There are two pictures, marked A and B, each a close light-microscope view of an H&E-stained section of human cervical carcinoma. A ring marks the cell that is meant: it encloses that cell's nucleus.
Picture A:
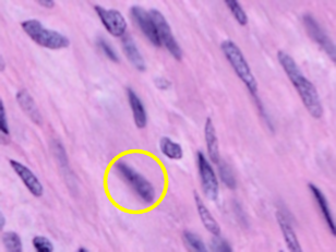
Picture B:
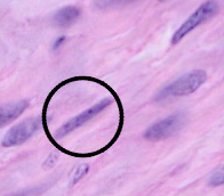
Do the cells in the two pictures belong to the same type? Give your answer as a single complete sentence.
Yes, the two pictures both show fibroblasts.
